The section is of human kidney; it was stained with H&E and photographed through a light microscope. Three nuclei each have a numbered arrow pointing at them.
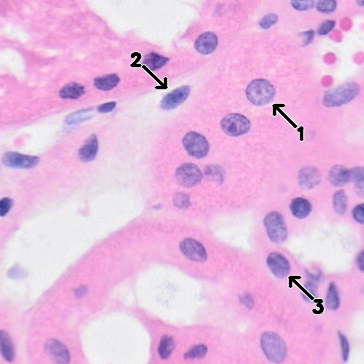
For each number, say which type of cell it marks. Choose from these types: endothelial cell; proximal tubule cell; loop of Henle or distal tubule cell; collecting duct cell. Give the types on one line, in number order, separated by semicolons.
proximal tubule cell; endothelial cell; collecting duct cell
